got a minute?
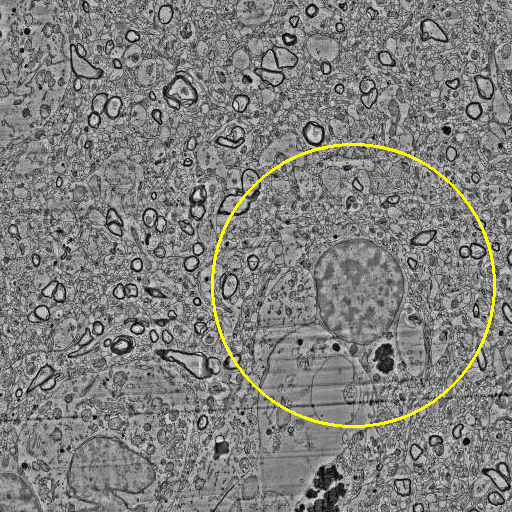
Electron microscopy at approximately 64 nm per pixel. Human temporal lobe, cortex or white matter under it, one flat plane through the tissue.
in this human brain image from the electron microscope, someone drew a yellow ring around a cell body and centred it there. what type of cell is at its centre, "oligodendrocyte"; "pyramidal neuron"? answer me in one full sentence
It's an oligodendrocyte at the middle of that yellow ring in the shot.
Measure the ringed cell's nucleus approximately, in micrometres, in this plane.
About 7 by 6 micrometers for the nucleus, in this plane.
